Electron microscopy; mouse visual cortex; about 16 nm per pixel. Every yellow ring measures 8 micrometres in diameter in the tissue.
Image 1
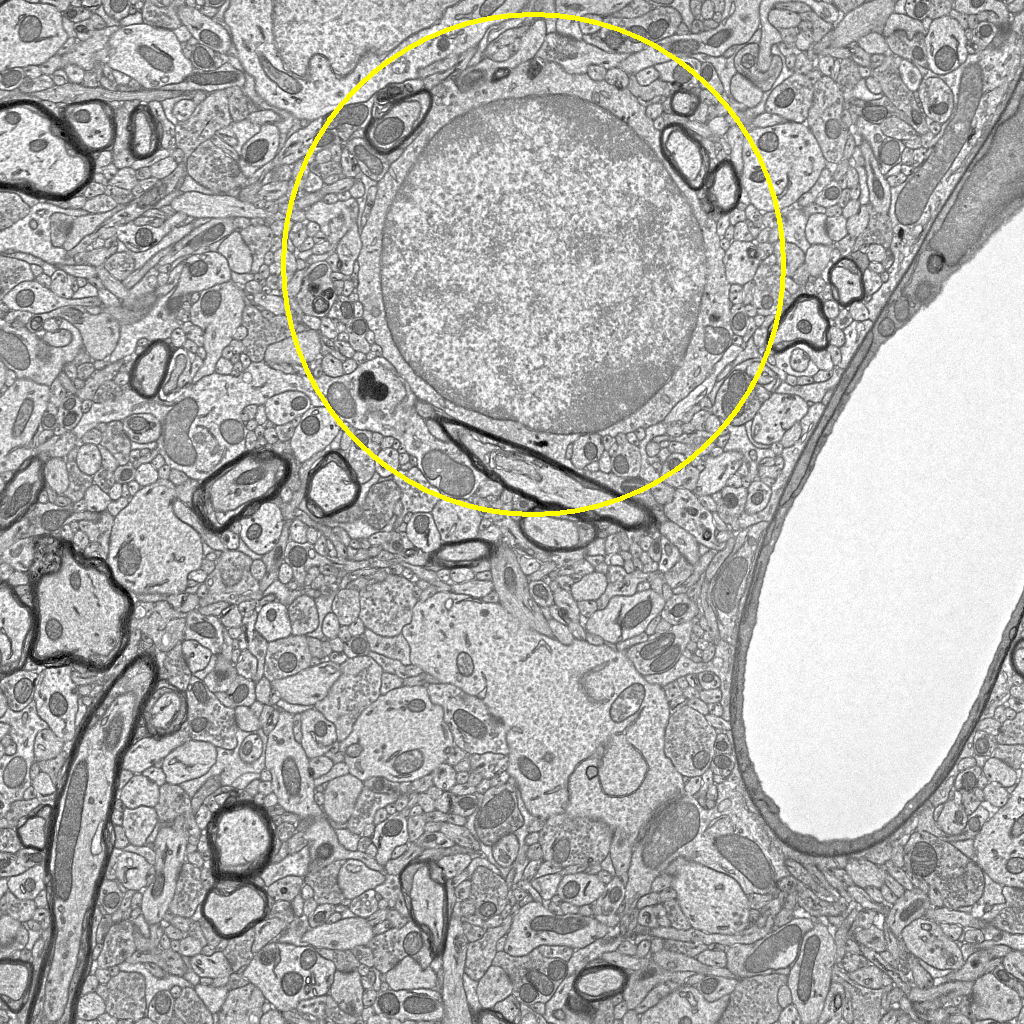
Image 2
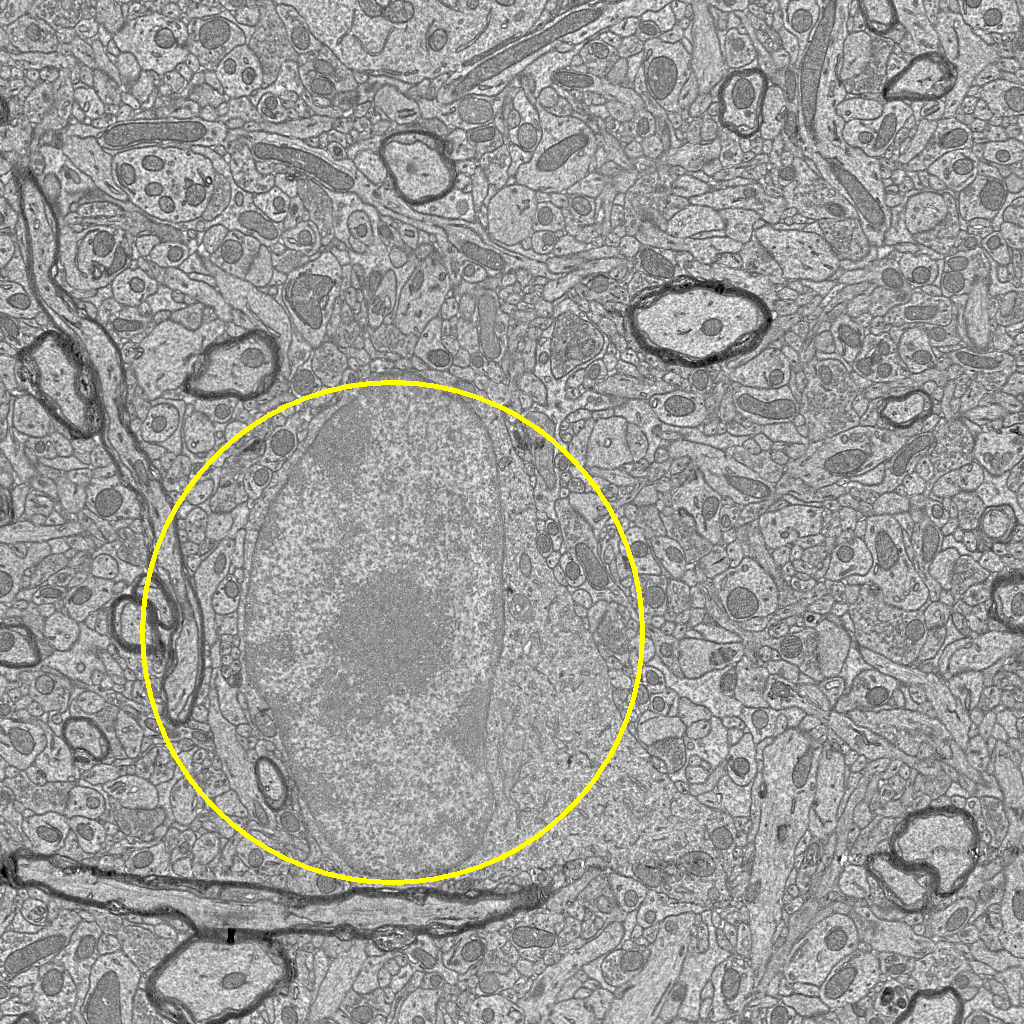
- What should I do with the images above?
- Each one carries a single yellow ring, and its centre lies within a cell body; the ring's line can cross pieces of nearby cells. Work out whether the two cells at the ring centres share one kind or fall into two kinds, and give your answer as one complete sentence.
The ring-centre cells of Image 1 and Image 2 share one kind.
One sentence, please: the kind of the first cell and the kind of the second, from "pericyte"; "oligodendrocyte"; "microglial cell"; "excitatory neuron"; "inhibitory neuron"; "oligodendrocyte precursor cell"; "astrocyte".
The first and the second cell are each an oligodendrocyte.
